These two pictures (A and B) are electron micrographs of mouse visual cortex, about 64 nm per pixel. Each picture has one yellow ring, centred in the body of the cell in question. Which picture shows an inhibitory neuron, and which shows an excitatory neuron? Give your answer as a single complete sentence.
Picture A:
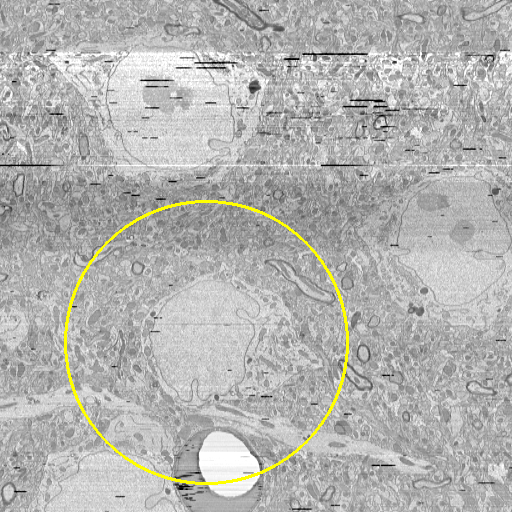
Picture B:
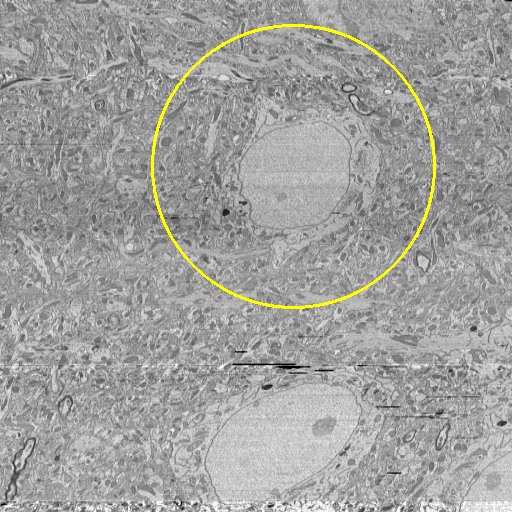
The cell in picture A is an inhibitory neuron, and the one in picture B is an excitatory neuron.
